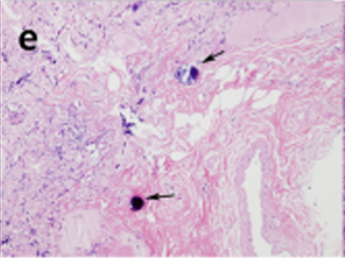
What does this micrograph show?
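The psammoma bodies are small, sharply bordered, rounded concretions that stain a deep purple, much darker than anything around them. One lies in the upper middle of the field and the other lower down, each sitting alone in the stroma. Along the left edge a few faint purple clusters of cells can be seen, but no well-formed follicles fill the field.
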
